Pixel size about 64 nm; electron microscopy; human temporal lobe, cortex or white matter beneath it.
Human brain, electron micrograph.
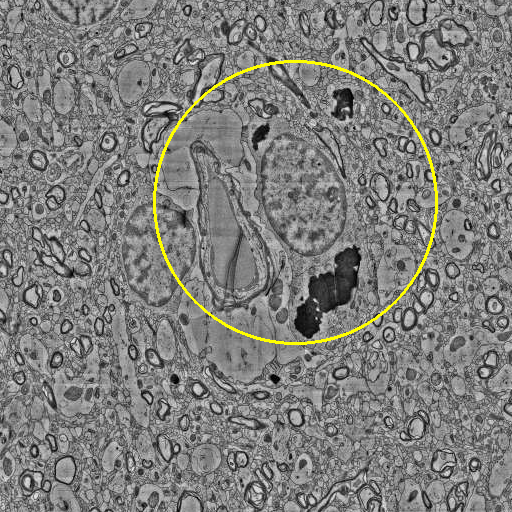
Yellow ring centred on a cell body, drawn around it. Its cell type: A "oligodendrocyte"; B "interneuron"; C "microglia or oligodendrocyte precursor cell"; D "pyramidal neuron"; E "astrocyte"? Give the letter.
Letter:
A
